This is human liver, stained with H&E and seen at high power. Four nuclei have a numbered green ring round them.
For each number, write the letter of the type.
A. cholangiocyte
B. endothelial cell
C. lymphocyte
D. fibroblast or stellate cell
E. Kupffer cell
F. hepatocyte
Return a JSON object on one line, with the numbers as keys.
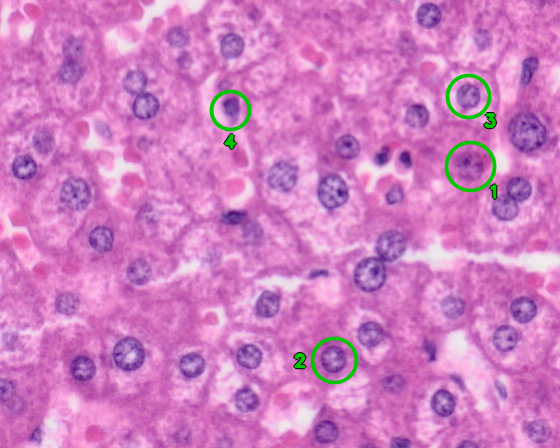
{"1": "F", "2": "F", "3": "F", "4": "E"}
